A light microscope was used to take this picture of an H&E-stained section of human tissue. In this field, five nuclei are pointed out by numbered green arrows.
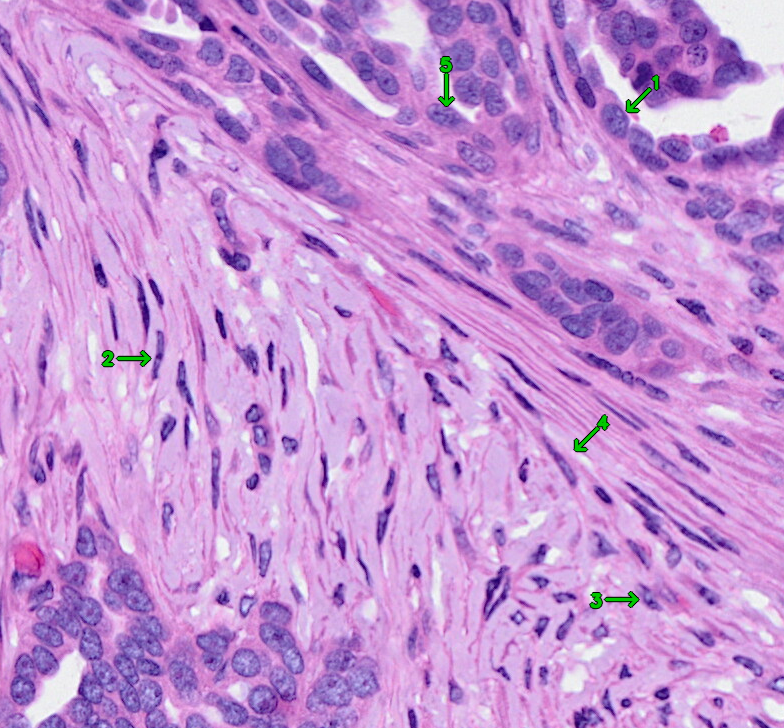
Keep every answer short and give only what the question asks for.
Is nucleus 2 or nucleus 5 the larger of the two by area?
5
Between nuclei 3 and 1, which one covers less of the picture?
3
